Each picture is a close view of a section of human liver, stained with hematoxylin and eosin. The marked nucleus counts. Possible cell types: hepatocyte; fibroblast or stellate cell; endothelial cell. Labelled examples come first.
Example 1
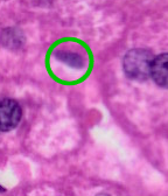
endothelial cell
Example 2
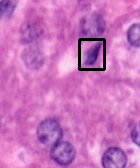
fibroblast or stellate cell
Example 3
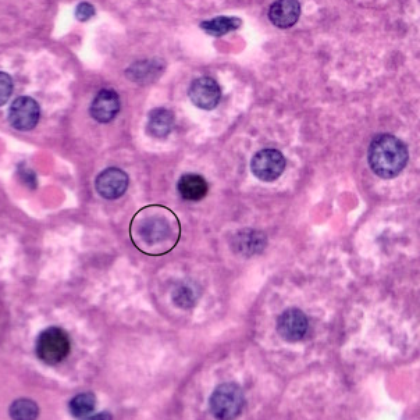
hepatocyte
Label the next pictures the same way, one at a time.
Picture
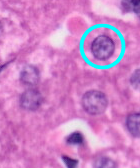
hepatocyte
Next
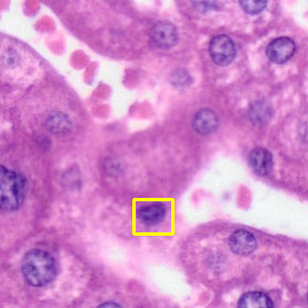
fibroblast or stellate cell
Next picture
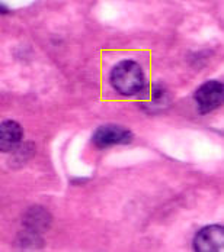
hepatocyte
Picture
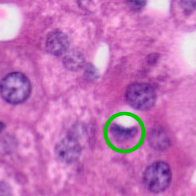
endothelial cell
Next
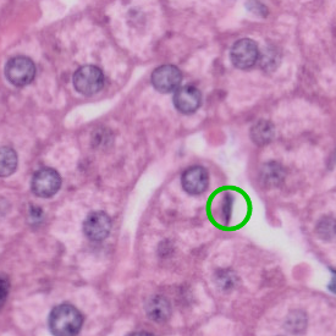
endothelial cell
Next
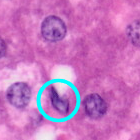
endothelial cell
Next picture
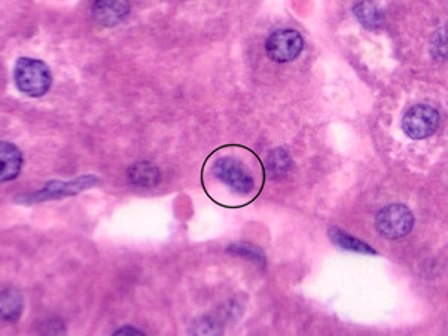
fibroblast or stellate cell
